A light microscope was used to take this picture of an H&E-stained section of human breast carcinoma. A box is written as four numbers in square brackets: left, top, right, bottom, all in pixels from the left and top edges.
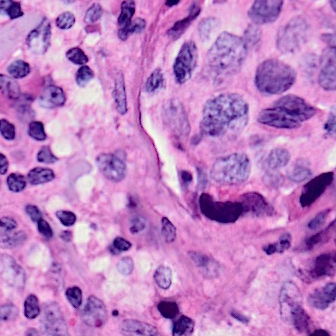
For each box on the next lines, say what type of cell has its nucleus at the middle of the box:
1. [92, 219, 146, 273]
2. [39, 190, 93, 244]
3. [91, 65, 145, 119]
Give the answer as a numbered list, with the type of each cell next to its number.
1. lymphocyte
2. lymphocyte
3. macrophage, monocyte or dendritic cell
